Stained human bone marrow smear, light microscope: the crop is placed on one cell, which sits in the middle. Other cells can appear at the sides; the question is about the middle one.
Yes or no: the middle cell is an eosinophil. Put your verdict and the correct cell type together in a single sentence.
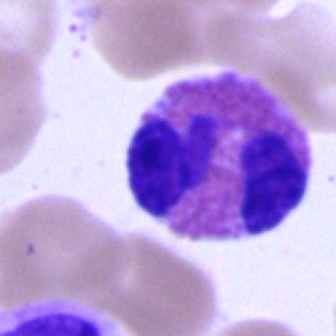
Yes, the identification of the central cell as an eosinophil is correct.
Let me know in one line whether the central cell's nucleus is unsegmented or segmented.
Nuclear material here is separated into two or more segments.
